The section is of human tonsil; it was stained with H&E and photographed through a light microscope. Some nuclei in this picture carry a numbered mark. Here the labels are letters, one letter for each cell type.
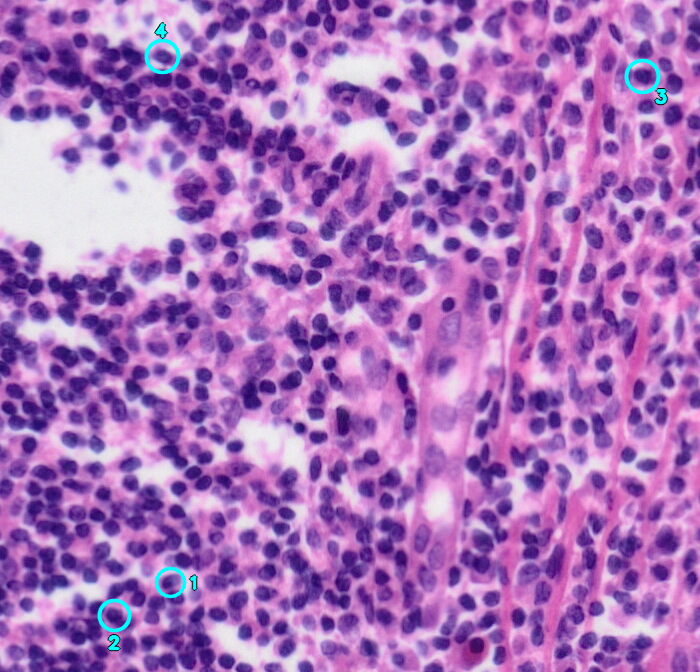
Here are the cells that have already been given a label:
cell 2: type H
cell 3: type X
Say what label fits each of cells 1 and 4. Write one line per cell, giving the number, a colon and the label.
1: type H
4: type H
